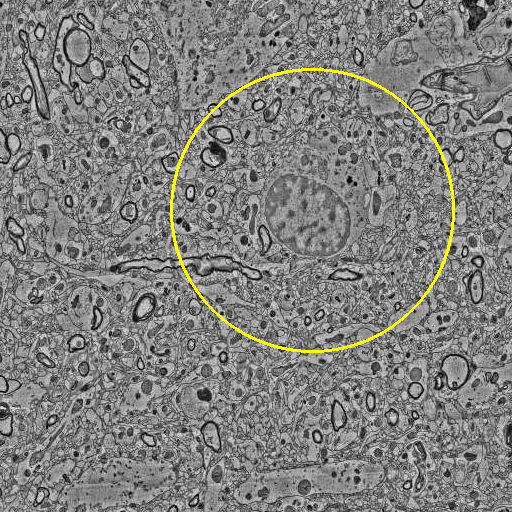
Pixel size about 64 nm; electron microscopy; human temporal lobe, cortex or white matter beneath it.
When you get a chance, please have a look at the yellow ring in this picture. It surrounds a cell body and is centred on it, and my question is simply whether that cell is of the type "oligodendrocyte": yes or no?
Yes, the cell is of that type.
